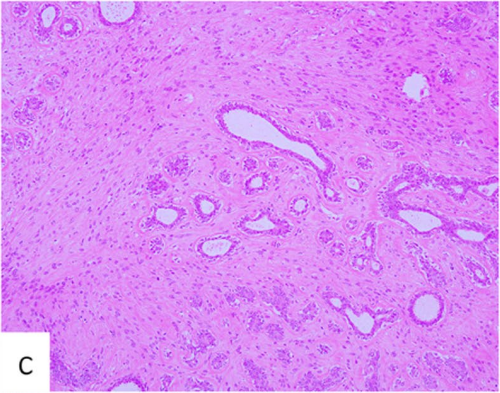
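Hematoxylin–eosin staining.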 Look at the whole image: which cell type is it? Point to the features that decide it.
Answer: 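The pink stroma between ducts holds many elongated, spindle-shaped nuclei. The stromal cells run in streams around the ducts.
Spindle-shaped stromal cells.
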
